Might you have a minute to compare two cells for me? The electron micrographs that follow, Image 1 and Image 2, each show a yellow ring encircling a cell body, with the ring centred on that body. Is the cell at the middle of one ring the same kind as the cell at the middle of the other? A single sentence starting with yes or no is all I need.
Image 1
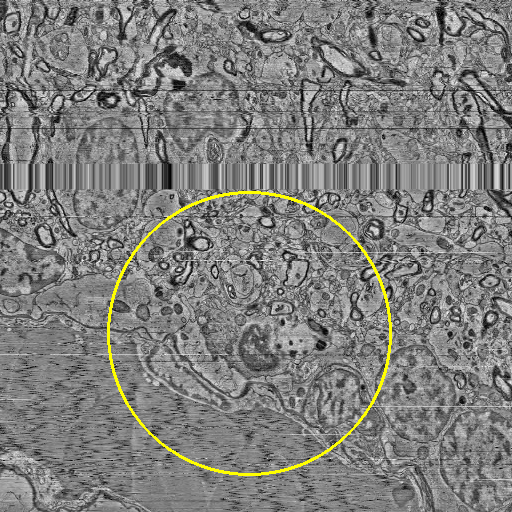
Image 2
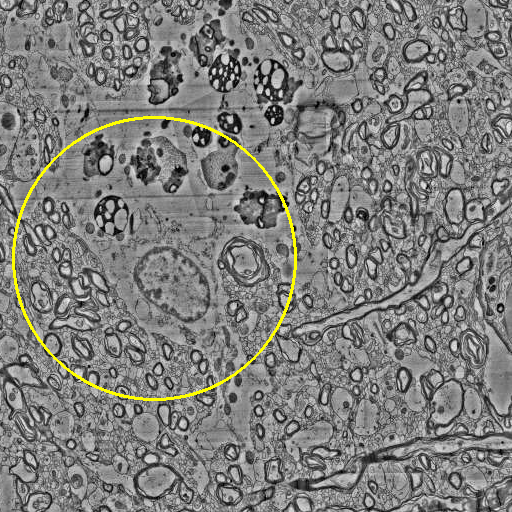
No, the cells in the middle of the two rings are of two separate kinds.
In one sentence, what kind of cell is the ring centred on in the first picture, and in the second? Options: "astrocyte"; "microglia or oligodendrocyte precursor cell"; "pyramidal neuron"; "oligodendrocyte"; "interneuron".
The cell at the centre of the second ring is an astrocyte; the first ring's cell is an oligodendrocyte.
